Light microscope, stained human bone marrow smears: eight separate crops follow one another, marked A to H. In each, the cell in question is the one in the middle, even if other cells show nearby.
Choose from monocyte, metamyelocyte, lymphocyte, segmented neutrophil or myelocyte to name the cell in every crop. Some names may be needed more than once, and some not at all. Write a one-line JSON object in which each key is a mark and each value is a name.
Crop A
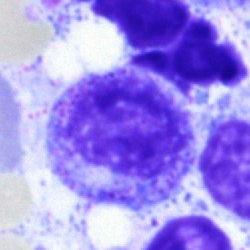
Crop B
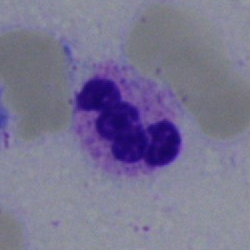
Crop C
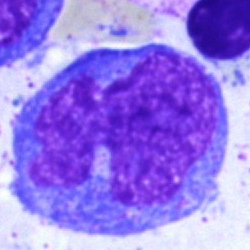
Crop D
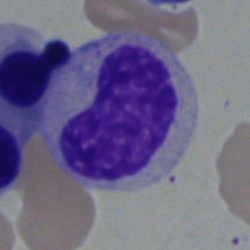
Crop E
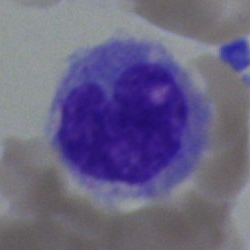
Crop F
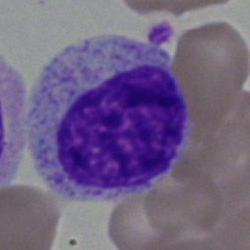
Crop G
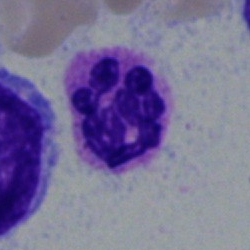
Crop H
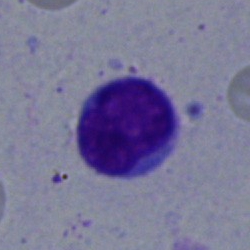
{"A": "metamyelocyte", "B": "segmented neutrophil", "C": "monocyte", "D": "metamyelocyte", "E": "monocyte", "F": "myelocyte", "G": "segmented neutrophil", "H": "lymphocyte"}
